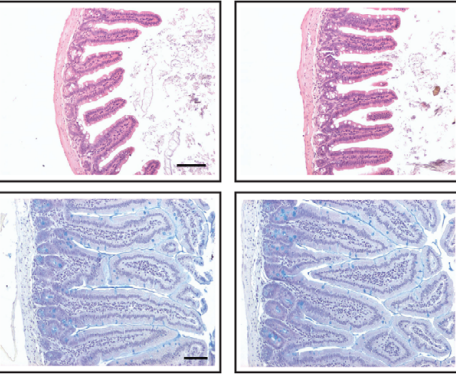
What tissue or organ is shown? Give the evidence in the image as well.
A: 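Long finger-like villi project from the mucosa into the lumen. A thin muscular wall lies at the base of the mucosa. Villi are lined by a single layer of columnar epithelium.
Hence: Small intestines.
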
